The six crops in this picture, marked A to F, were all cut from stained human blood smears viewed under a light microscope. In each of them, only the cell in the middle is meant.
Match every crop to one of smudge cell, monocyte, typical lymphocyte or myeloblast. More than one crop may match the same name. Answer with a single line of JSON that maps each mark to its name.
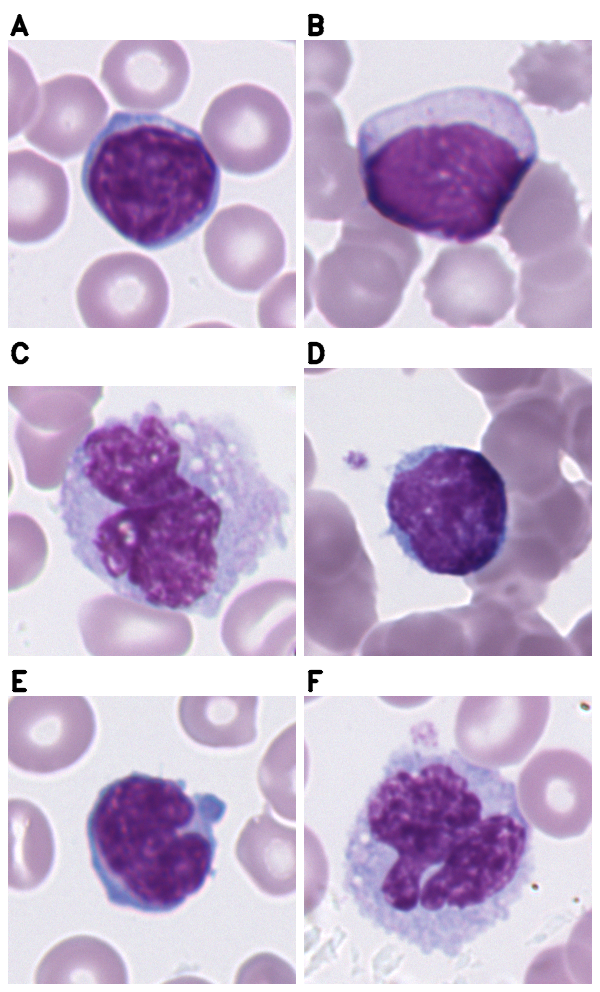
{"A": "typical lymphocyte", "B": "typical lymphocyte", "C": "monocyte", "D": "typical lymphocyte", "E": "myeloblast", "F": "monocyte"}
